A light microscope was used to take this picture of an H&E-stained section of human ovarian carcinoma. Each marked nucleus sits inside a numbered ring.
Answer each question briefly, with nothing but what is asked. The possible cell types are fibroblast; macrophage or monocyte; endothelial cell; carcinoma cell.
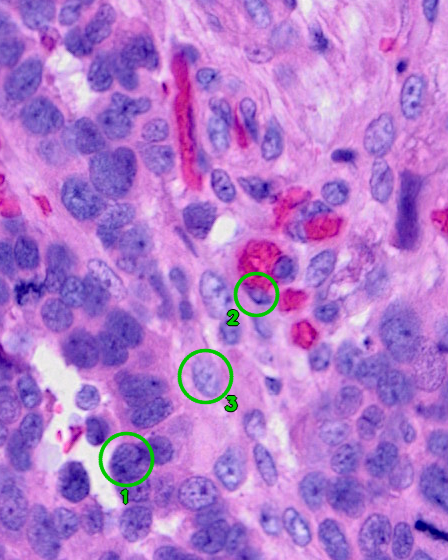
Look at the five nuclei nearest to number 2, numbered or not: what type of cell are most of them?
fibroblast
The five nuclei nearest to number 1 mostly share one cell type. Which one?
carcinoma cell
